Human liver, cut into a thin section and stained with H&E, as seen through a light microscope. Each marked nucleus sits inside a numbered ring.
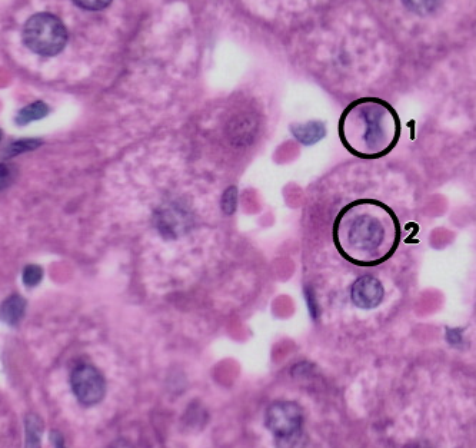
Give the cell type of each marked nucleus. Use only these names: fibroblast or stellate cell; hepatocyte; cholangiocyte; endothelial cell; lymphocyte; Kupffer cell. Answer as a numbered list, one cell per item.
1. endothelial cell
2. hepatocyte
